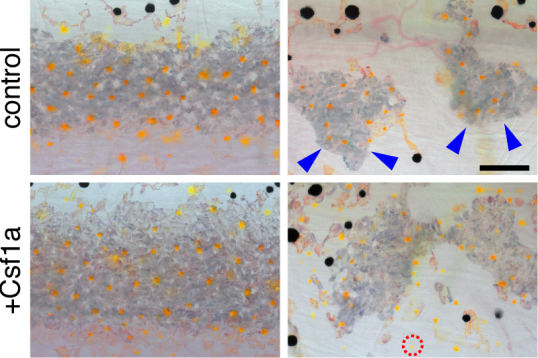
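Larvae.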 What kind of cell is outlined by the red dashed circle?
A: a xanthophore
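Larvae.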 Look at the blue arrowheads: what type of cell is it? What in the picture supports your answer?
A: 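Iridophores. The blue arrowheads point to the edges of separate patches of grey cells. The grey patches lie under scattered small orange cells.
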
